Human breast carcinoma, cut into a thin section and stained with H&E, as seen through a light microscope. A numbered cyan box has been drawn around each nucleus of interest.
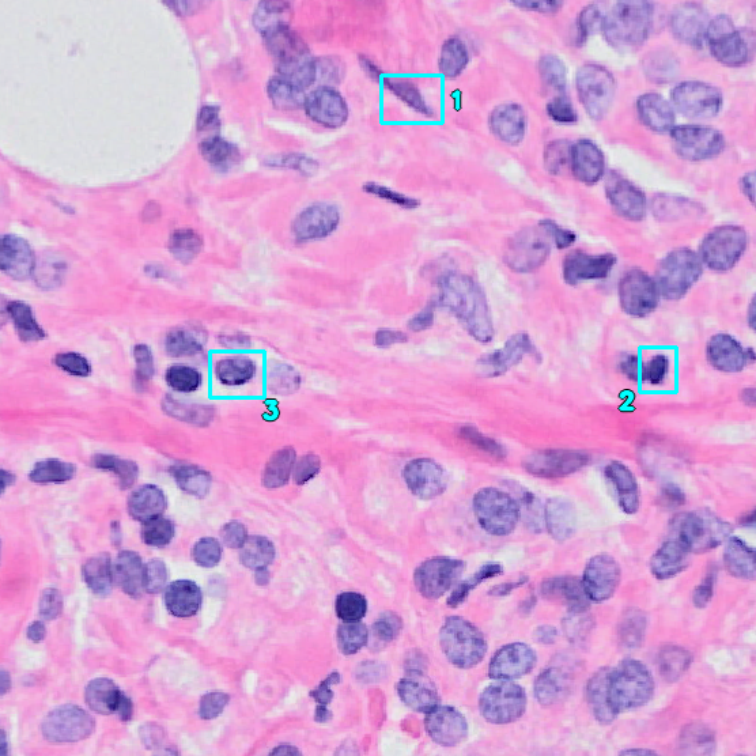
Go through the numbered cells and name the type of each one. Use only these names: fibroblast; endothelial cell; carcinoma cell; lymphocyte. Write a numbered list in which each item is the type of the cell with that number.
1. fibroblast
2. lymphocyte
3. lymphocyte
